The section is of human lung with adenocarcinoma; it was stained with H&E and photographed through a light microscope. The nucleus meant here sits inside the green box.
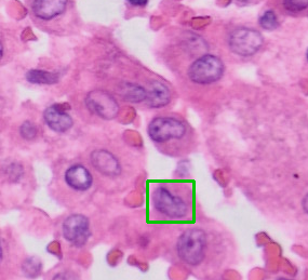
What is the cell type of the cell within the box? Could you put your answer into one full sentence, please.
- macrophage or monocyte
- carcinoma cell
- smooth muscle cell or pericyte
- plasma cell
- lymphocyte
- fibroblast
In this tissue sample, the cell within the box is a macrophage or monocyte.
